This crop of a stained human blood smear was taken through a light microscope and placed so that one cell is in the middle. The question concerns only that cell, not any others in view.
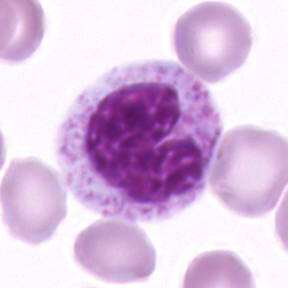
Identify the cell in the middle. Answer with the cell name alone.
band neutrophil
